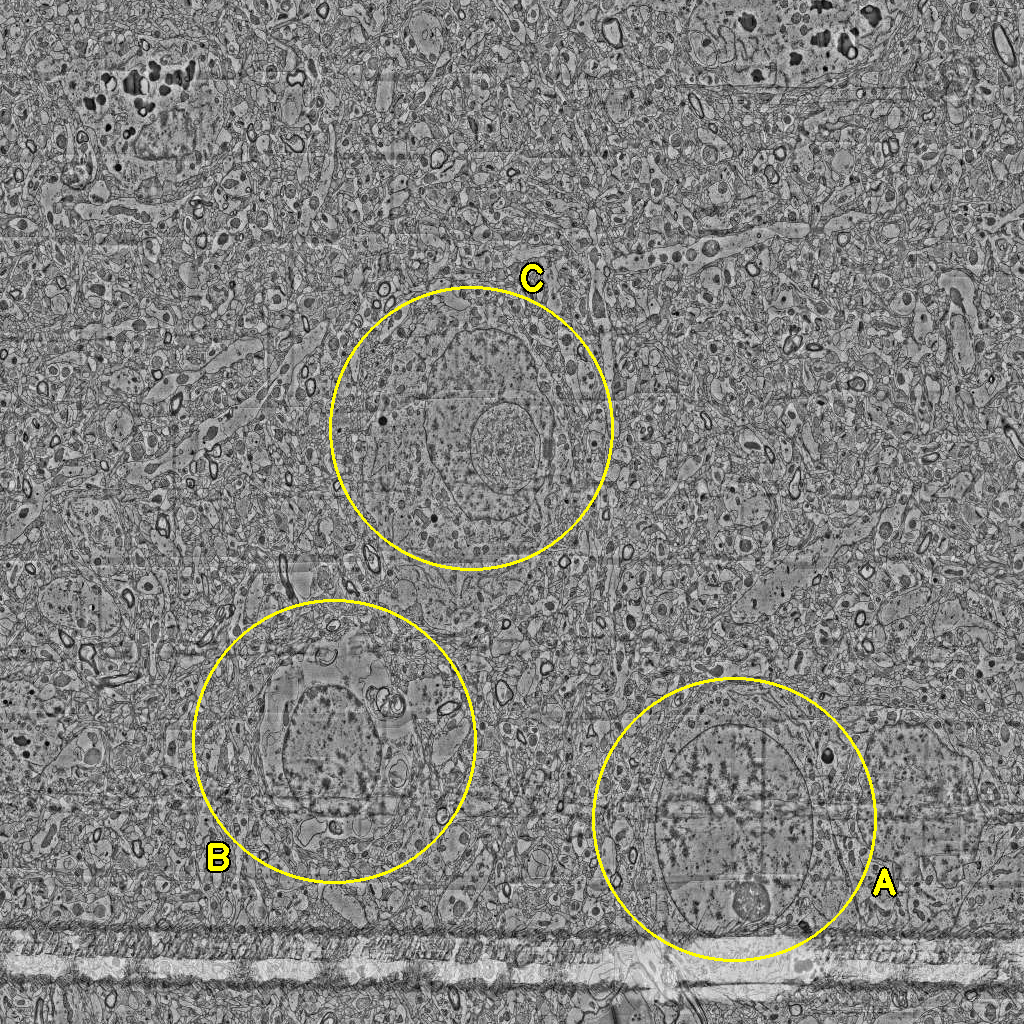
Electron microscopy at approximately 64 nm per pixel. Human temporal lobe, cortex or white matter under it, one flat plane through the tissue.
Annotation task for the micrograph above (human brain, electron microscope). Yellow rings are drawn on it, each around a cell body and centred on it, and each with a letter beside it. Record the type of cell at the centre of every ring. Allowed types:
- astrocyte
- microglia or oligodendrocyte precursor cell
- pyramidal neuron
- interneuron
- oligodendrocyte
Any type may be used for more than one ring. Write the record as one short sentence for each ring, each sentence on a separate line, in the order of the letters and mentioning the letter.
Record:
The cell centred in ring A is a pyramidal neuron.
The cell centred in ring B is an astrocyte.
The cell centred in ring C is an interneuron.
